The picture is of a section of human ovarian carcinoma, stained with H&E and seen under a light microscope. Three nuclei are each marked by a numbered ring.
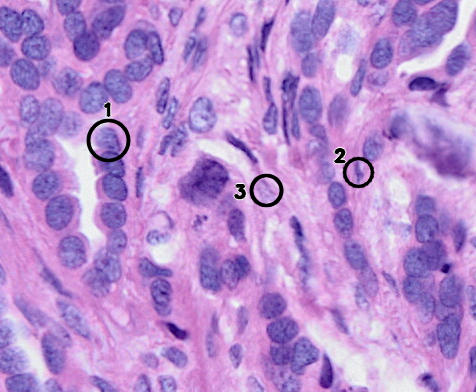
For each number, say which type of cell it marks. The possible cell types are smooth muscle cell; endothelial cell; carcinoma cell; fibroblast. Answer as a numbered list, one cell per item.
1. carcinoma cell
2. fibroblast
3. fibroblast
